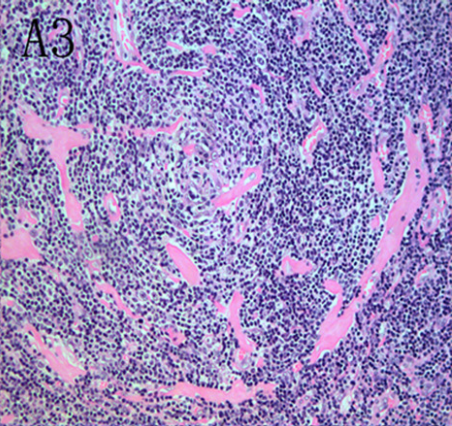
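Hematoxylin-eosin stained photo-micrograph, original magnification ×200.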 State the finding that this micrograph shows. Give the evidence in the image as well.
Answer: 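Prominent proliferation of blood vessels. Many pink, elongated and branching vessel profiles run through the lymphoid tissue. The vessel walls are thick, homogeneous and glassy pink.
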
